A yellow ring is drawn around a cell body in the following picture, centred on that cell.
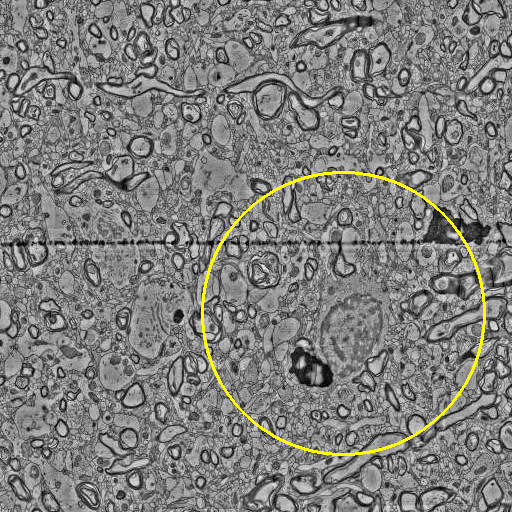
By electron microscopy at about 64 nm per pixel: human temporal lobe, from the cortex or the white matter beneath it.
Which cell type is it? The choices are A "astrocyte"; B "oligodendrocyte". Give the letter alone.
B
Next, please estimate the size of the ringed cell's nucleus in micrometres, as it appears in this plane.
In this plane, approximately 6 by 4 micrometers.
